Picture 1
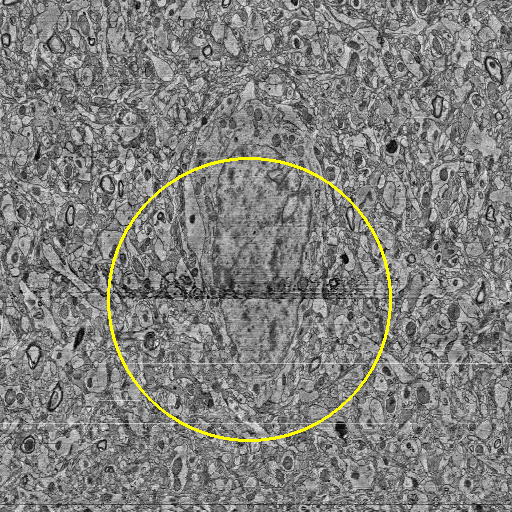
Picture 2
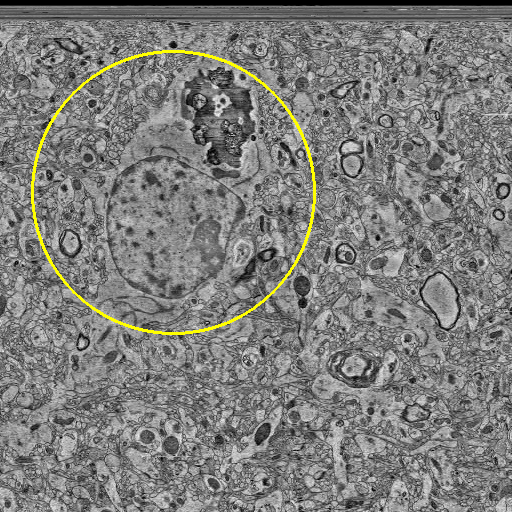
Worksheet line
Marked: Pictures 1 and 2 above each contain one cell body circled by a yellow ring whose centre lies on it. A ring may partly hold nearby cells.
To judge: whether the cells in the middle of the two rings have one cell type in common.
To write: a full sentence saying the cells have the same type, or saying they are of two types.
The cells in the middle of the rings in Picture 1 and Picture 2 are of two types.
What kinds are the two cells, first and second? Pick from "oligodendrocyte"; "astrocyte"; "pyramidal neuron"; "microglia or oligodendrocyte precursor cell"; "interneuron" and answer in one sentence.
The second picture holds an astrocyte in its ring, and the first holds an interneuron.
